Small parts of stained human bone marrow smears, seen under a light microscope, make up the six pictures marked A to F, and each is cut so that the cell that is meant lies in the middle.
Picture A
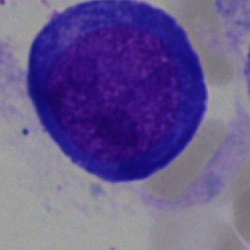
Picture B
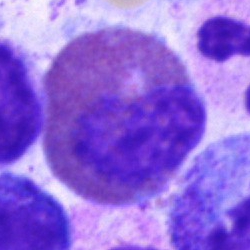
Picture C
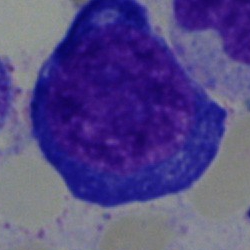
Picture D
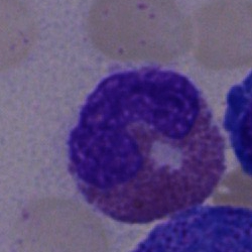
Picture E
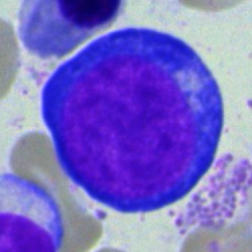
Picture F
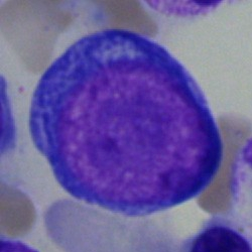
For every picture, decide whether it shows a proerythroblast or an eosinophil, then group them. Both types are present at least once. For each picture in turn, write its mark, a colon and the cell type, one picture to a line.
A: proerythroblast
B: eosinophil
C: proerythroblast
D: eosinophil
E: proerythroblast
F: proerythroblast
